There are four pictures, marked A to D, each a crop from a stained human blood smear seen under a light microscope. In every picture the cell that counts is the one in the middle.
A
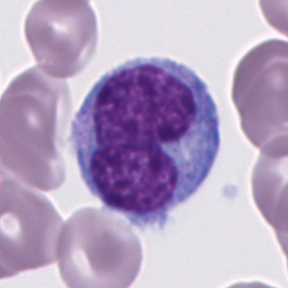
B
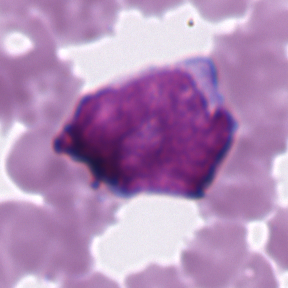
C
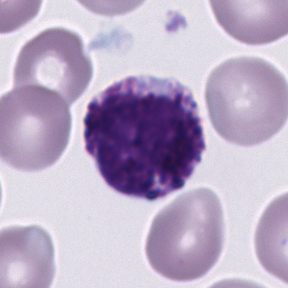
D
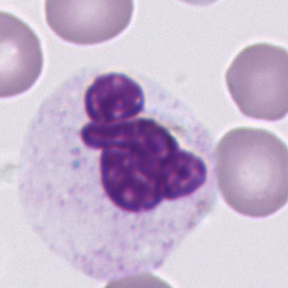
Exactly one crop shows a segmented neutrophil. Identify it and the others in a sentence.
In crop D the central cell is a segmented neutrophil, while crop A is a monocyte, crop B is a myeloblast and crop C is a basophil.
